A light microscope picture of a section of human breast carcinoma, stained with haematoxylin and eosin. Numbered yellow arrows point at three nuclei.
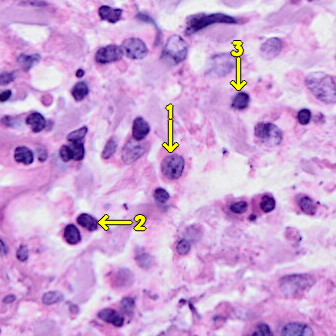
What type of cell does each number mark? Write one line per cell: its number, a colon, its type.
1: mast cell
2: lymphocyte
3: lymphocyte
